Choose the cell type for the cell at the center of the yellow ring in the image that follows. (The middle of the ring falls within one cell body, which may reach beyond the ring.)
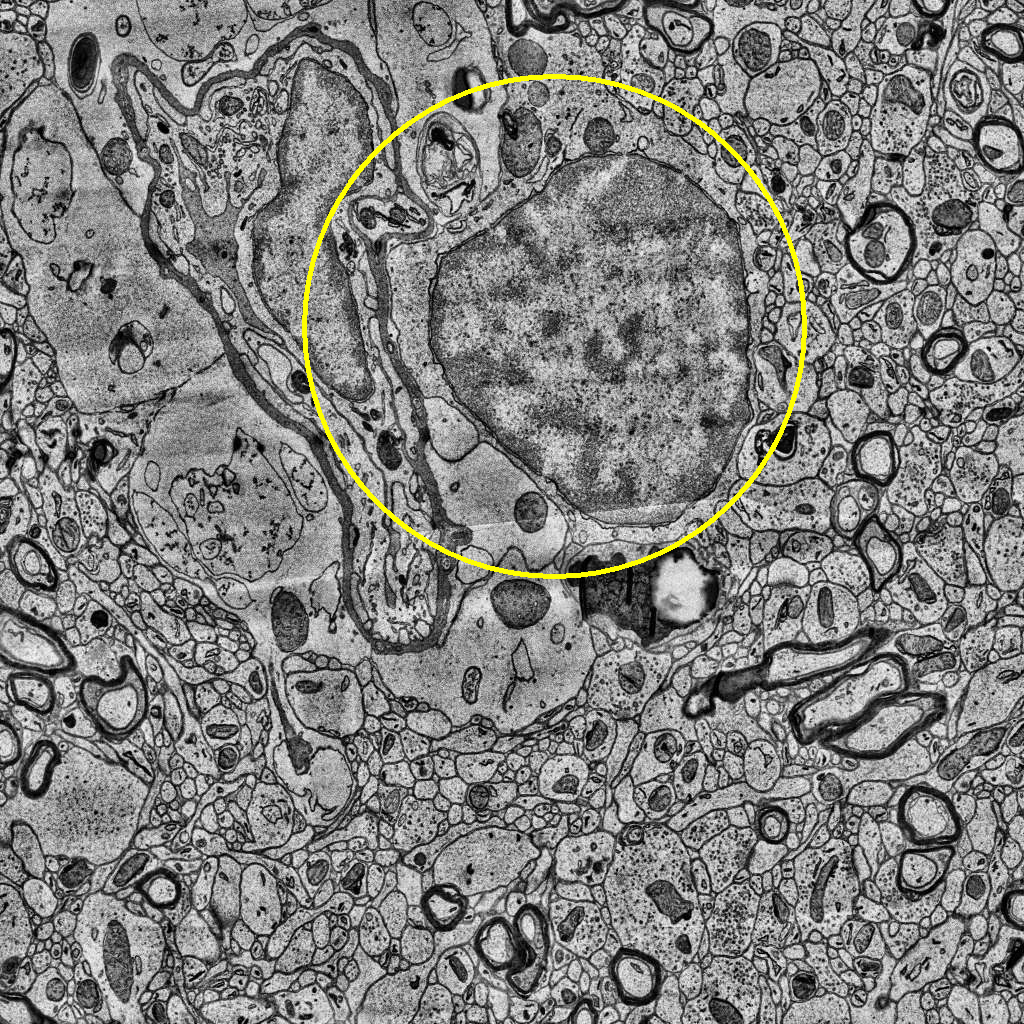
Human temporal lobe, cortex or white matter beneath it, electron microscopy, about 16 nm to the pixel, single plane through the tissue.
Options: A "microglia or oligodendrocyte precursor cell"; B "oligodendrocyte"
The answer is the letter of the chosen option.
B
